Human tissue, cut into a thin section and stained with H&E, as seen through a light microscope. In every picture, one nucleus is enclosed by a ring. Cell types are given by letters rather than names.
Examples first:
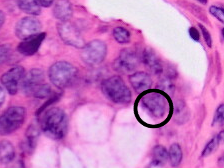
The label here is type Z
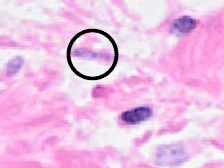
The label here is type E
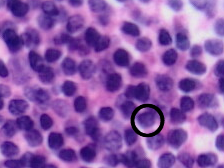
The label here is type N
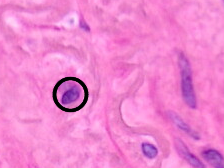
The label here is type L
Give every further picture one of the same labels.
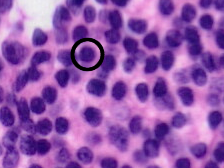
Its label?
type N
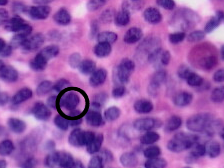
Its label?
type N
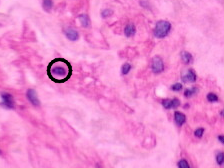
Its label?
type L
